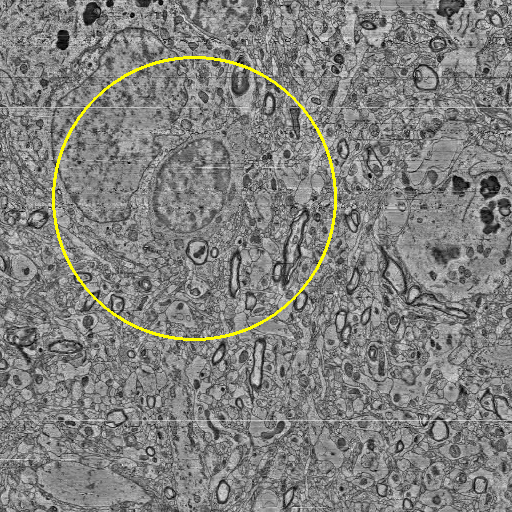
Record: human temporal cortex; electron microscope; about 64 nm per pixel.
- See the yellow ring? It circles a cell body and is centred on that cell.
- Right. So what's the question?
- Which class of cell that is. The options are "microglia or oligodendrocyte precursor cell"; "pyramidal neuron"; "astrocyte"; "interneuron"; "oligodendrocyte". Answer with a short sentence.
The centre of the ring holds an oligodendrocyte.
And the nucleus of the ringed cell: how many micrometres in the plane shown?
The nucleus works out at approximately 7 by 5 micrometres in this plane.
